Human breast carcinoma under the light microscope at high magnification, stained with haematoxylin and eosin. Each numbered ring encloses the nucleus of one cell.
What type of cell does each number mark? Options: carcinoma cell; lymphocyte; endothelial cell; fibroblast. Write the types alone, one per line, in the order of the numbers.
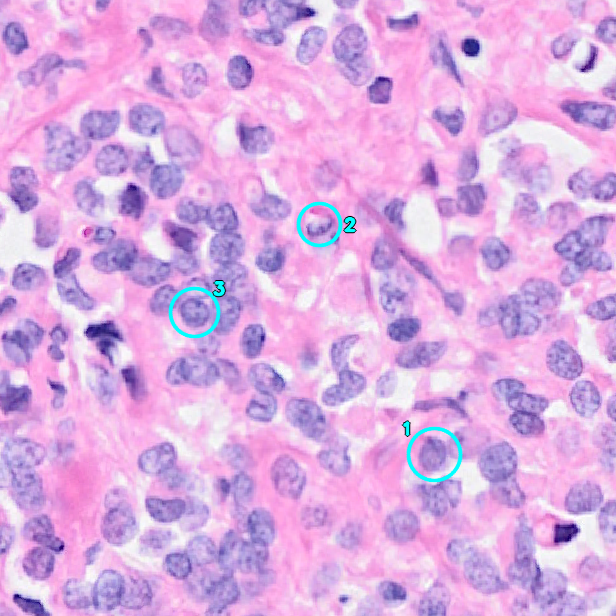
carcinoma cell
endothelial cell
carcinoma cell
